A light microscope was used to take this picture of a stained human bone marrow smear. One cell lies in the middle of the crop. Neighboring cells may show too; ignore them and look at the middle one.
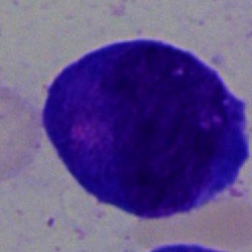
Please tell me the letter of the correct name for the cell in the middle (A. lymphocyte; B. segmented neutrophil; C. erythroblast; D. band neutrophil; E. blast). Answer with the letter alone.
E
